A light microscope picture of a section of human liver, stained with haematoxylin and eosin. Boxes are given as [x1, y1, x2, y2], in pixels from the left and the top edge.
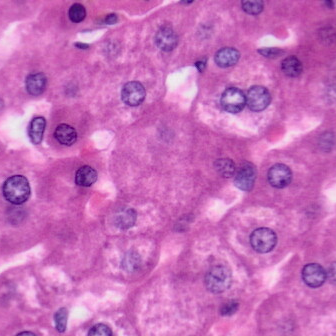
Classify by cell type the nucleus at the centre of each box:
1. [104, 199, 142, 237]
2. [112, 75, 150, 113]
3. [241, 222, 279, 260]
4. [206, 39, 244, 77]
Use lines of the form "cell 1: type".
cell 1: hepatocyte
cell 2: hepatocyte
cell 3: hepatocyte
cell 4: cholangiocyte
